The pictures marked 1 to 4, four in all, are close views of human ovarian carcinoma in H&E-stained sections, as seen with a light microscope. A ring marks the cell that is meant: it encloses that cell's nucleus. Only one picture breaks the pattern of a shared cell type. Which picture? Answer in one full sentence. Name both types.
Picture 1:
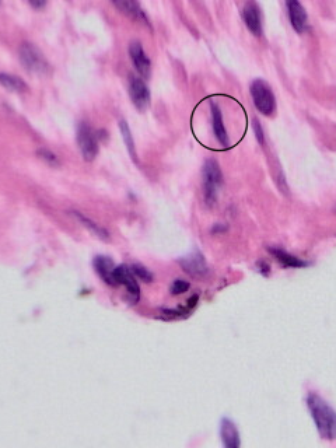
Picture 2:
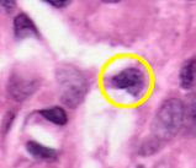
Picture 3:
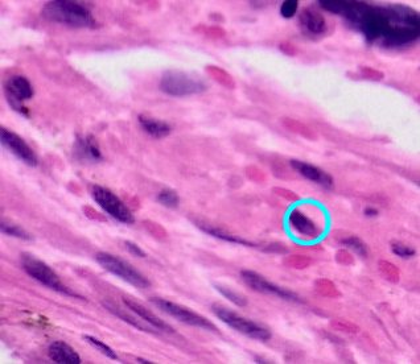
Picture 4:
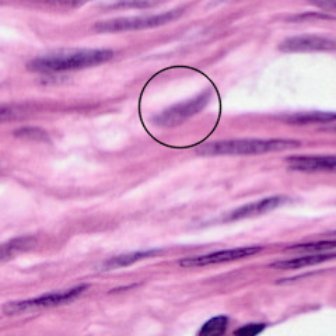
Picture 2 is the odd one out: it shows a “macrophage or monocyte”, while the others show fibroblasts.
